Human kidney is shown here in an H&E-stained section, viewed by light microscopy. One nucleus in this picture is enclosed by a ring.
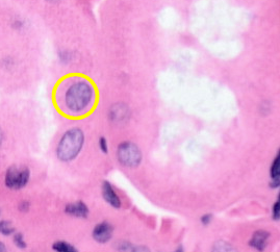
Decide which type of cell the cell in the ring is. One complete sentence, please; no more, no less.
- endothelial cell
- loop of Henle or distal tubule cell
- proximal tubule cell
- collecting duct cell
It is as a proximal tubule cell that the cell in the ring is classified.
